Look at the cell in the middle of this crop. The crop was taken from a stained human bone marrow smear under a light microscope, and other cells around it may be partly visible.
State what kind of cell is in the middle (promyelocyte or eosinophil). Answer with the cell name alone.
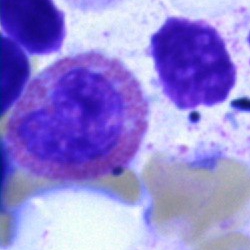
eosinophil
